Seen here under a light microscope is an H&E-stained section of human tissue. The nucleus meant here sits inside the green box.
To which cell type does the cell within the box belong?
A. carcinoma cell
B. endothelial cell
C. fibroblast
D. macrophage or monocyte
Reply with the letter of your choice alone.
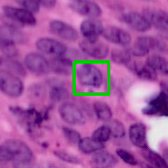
D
